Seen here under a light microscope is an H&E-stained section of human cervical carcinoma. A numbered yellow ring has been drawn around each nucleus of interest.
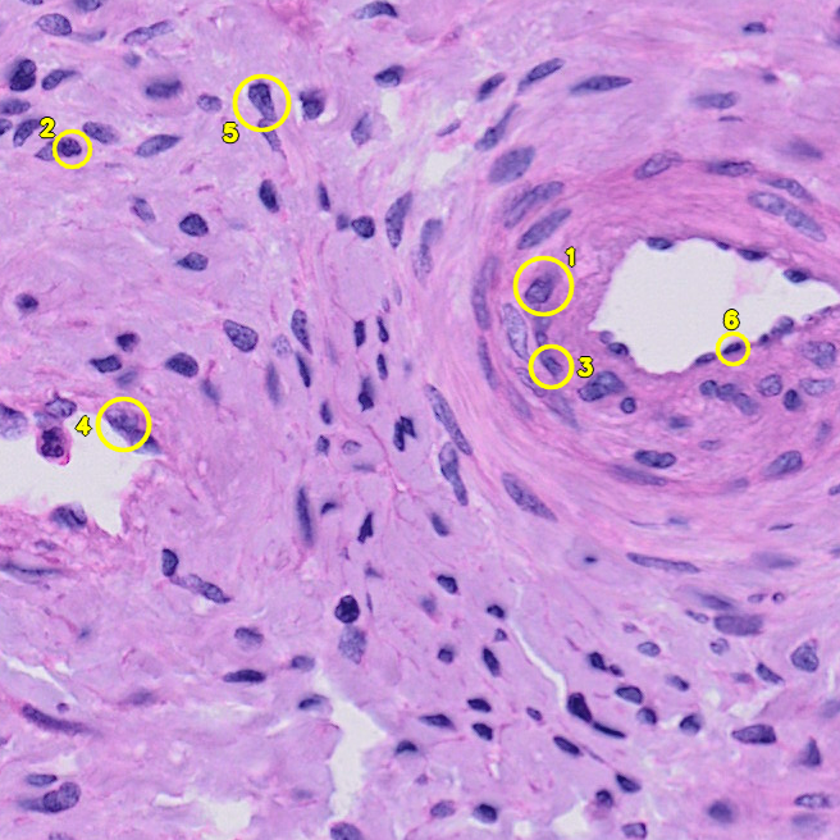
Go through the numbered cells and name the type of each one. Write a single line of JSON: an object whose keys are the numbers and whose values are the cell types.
{"1": "smooth muscle cell", "2": "fibroblast", "3": "smooth muscle cell", "4": "endothelial cell", "5": "fibroblast", "6": "endothelial cell"}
